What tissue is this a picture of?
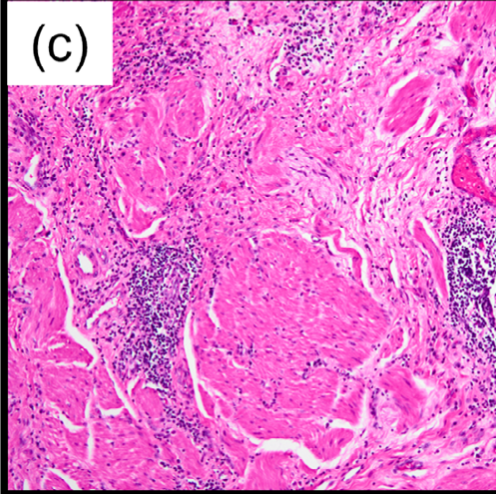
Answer: Muscularis propria.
